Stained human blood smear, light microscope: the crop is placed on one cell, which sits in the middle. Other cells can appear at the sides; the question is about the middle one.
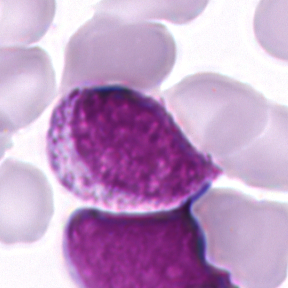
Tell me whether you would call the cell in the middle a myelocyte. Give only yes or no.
yes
